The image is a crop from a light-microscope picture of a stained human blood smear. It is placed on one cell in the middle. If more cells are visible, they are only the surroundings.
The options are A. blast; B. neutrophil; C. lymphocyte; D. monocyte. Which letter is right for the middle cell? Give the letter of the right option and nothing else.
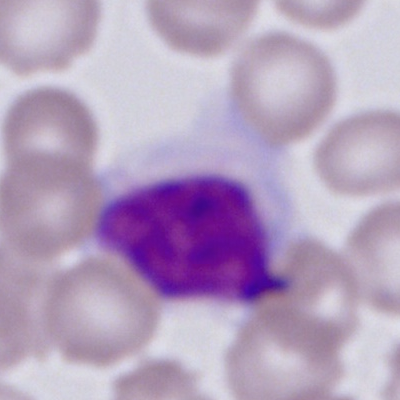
C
